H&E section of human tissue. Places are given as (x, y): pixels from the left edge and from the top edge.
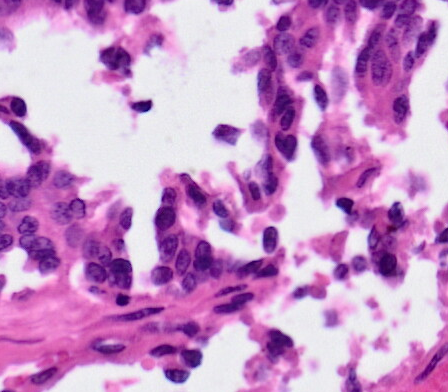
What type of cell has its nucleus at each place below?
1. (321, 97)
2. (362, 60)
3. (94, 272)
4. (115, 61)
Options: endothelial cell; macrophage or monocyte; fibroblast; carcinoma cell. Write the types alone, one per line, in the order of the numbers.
carcinoma cell
carcinoma cell
carcinoma cell
macrophage or monocyte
